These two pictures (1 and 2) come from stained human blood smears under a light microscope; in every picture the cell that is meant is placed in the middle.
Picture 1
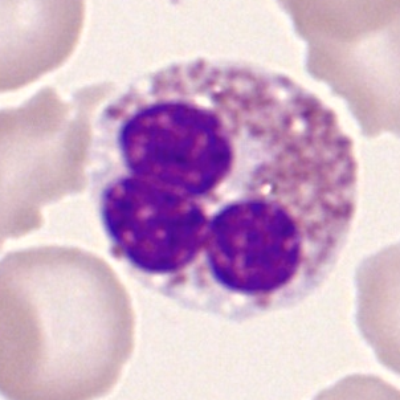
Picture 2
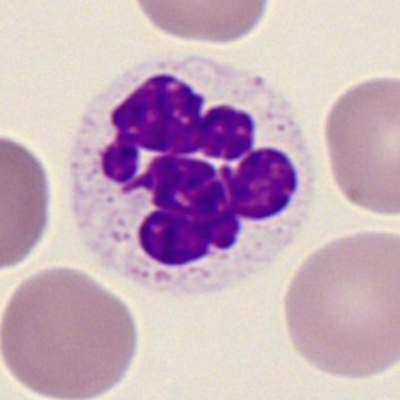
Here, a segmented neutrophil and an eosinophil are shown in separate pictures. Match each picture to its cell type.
1: eosinophil
2: segmented neutrophil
